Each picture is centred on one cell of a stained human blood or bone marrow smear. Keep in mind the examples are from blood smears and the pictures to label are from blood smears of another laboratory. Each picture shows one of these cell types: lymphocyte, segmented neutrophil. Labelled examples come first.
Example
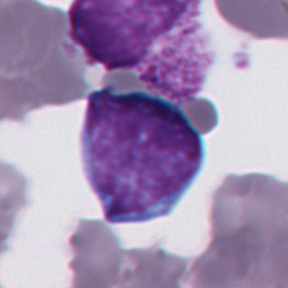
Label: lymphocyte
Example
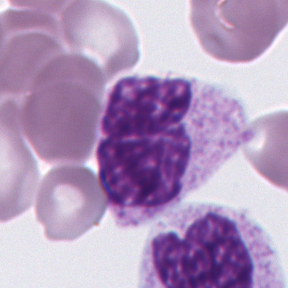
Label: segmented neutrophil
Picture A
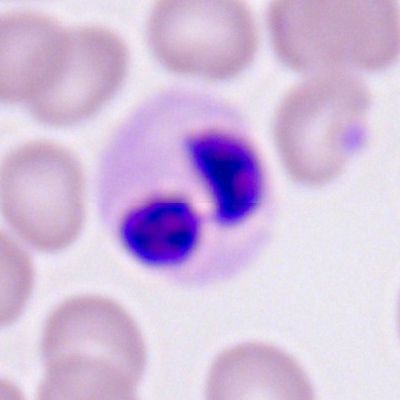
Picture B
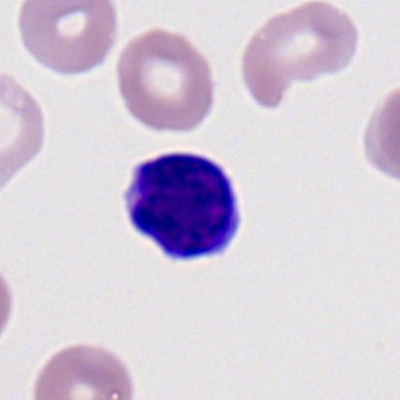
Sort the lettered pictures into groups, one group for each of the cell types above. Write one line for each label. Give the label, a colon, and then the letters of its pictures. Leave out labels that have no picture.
lymphocyte: B
segmented neutrophil: A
